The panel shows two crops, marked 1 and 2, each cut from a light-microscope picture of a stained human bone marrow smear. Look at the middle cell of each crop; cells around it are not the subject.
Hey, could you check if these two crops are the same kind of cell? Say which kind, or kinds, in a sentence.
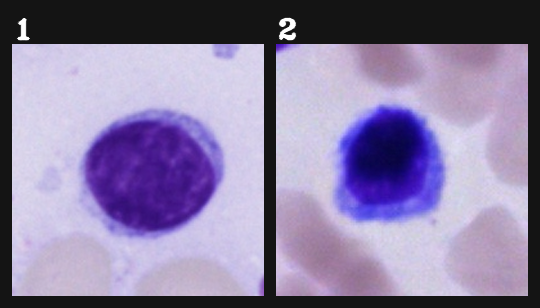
Yes, with regard to both crops, the central cells are lymphocytes.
